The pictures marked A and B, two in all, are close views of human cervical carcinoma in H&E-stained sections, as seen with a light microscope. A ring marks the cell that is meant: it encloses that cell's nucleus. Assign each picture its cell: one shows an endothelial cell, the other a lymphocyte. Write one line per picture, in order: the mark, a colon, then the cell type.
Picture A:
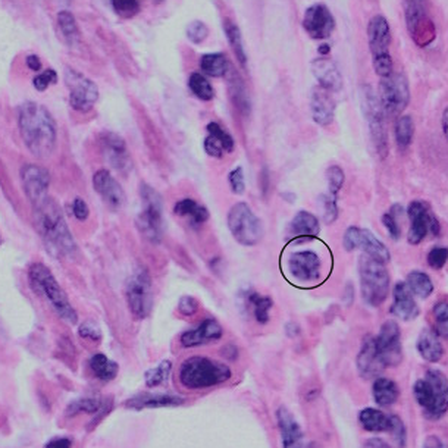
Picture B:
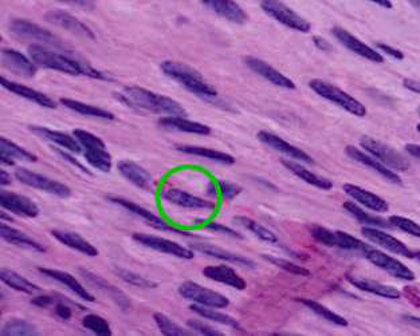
A: lymphocyte
B: endothelial cell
